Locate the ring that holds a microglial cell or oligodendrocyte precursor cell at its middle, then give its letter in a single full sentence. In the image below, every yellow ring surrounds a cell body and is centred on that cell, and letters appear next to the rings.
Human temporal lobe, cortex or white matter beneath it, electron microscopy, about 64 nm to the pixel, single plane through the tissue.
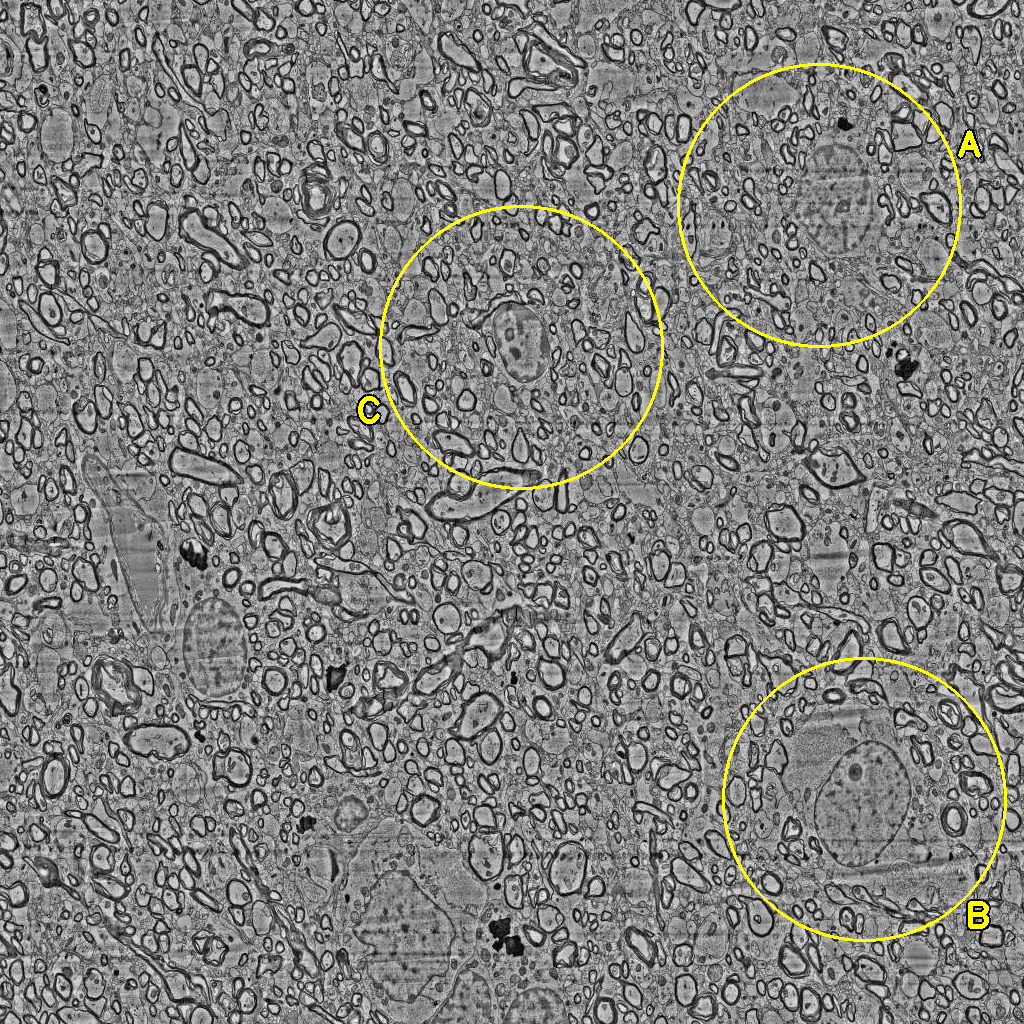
Ring C is the one centred on that kind of cell in the image.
